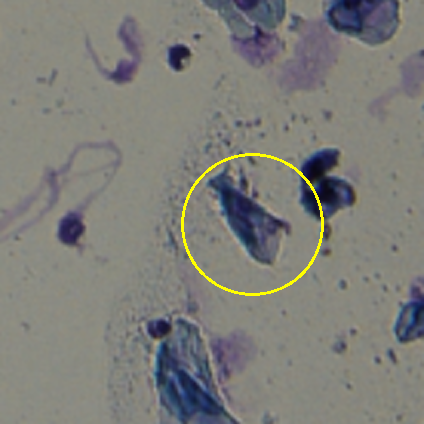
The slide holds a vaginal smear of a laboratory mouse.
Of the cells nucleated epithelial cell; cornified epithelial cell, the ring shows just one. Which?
The ring shows a cornified epithelial cell.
